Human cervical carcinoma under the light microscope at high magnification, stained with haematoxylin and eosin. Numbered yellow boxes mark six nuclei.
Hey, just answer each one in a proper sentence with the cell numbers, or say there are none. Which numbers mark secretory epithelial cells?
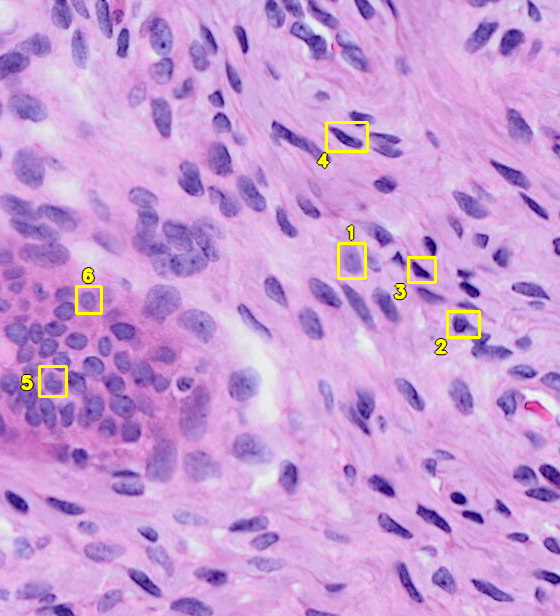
The cells 5 and 6 in this section are secretory epithelial cells.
